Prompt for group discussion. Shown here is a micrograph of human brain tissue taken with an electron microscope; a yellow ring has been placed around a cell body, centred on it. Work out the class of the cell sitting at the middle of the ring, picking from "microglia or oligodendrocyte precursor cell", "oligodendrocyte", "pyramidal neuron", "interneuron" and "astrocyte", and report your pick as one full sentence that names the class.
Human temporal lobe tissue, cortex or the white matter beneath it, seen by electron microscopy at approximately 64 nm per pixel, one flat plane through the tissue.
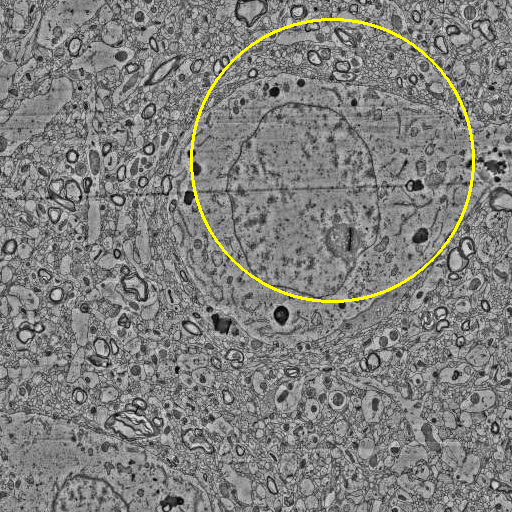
The cell sitting at the middle of the yellow ring is a pyramidal neuron.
